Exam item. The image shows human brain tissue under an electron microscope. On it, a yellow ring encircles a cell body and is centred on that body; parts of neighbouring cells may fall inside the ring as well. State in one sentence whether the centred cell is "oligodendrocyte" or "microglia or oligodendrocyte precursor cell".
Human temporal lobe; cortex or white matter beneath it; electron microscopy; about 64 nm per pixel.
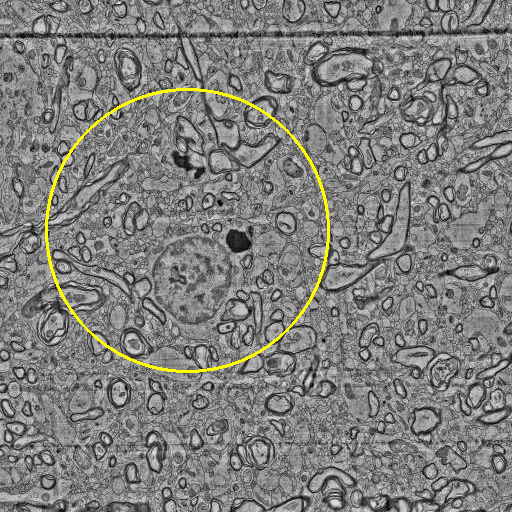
The cell body centred in the ring is an oligodendrocyte.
